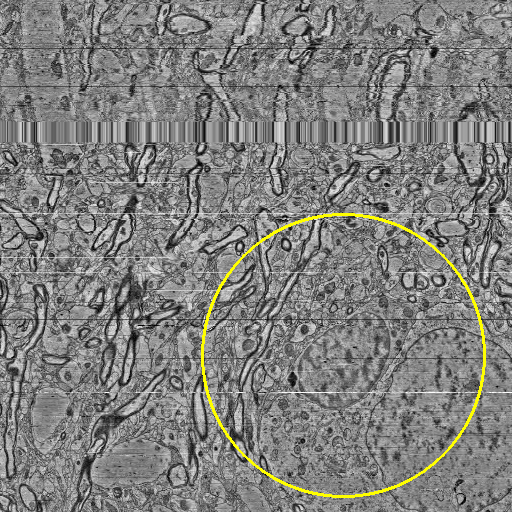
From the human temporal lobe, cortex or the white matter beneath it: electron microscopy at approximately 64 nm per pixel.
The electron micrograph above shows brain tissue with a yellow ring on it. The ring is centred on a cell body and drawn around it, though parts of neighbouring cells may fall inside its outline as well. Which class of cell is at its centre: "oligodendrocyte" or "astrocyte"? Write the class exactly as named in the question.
oligodendrocyte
